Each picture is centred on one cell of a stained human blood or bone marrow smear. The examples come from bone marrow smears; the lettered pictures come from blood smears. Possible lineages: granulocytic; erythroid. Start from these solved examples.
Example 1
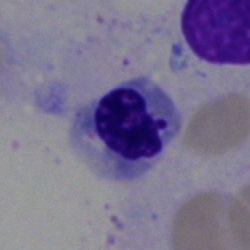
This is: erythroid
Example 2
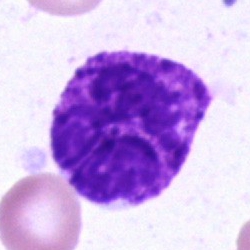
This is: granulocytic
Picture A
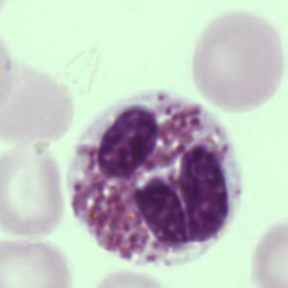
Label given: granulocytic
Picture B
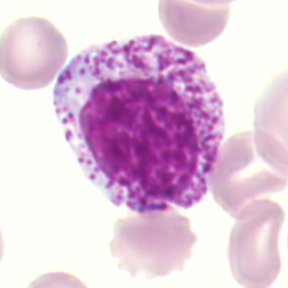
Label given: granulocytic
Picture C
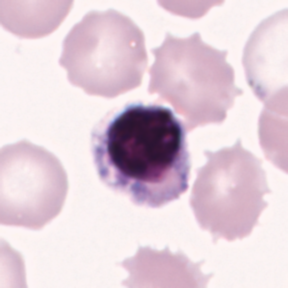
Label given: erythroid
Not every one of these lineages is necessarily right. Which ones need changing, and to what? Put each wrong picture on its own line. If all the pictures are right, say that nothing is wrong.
All correct.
